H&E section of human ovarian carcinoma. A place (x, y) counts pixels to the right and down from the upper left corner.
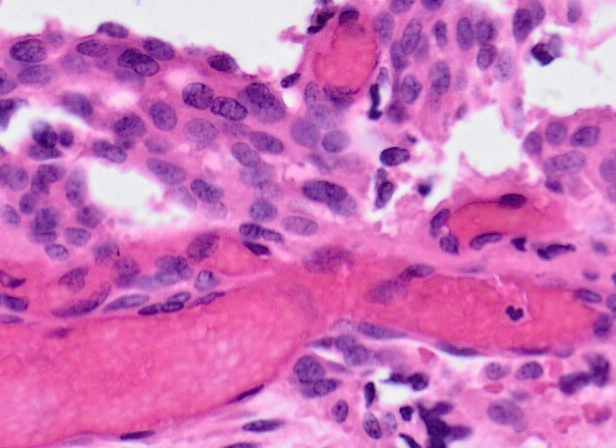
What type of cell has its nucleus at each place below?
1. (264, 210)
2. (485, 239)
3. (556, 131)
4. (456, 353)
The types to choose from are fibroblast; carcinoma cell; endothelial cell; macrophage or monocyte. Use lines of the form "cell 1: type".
cell 1: carcinoma cell
cell 2: endothelial cell
cell 3: carcinoma cell
cell 4: fibroblast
